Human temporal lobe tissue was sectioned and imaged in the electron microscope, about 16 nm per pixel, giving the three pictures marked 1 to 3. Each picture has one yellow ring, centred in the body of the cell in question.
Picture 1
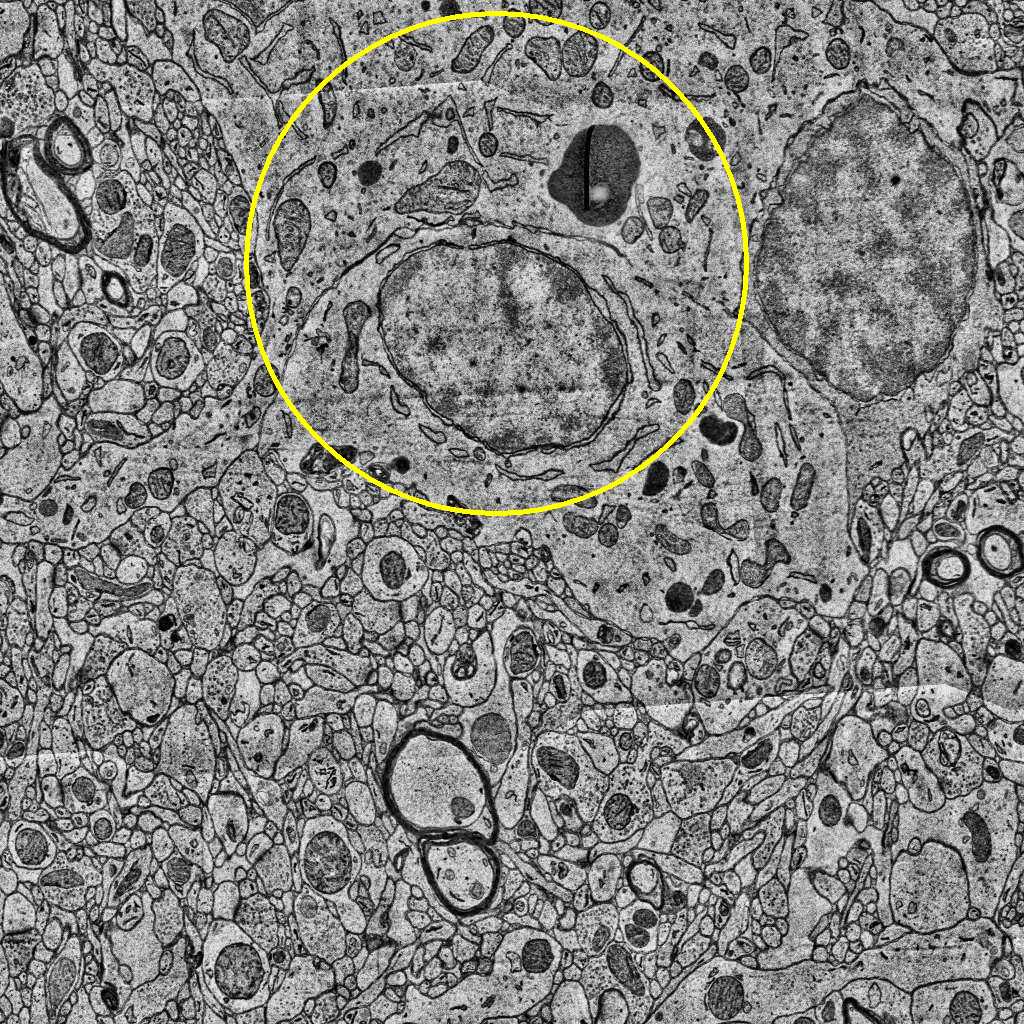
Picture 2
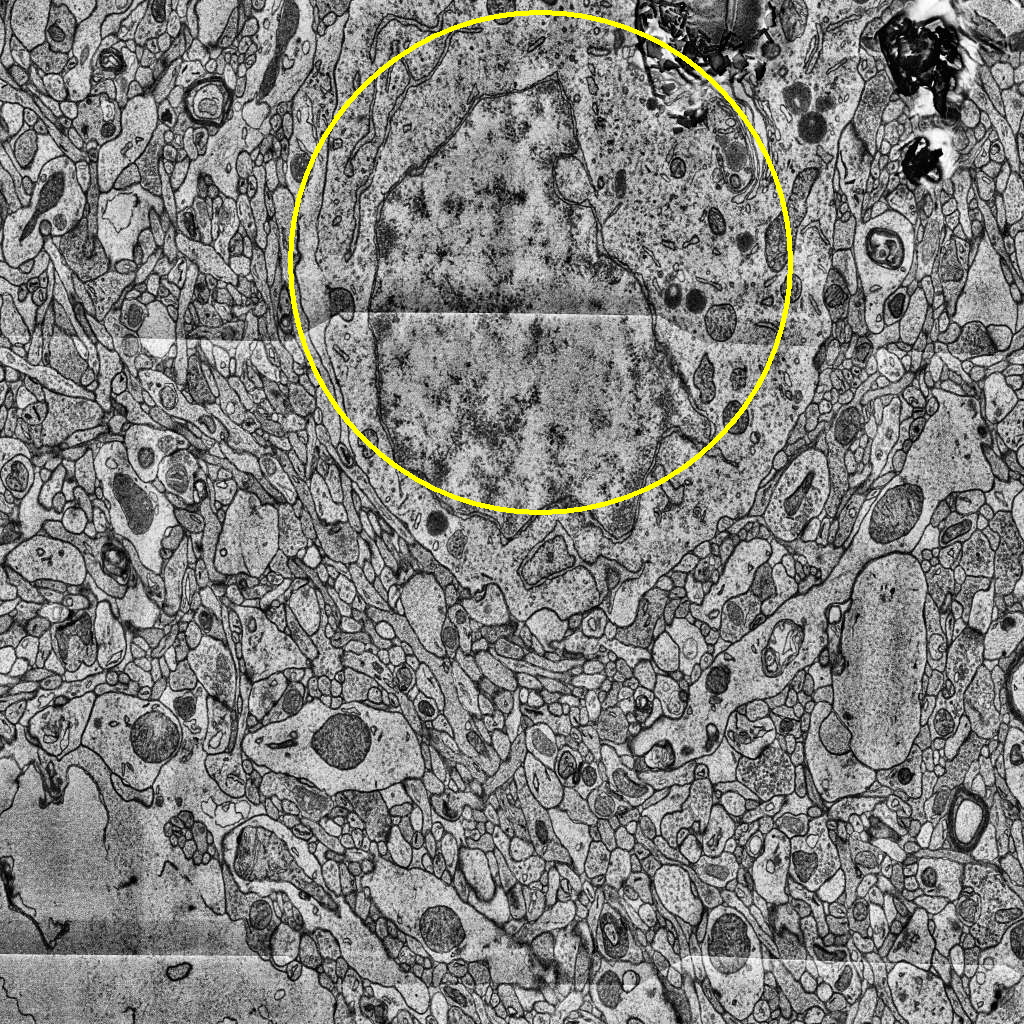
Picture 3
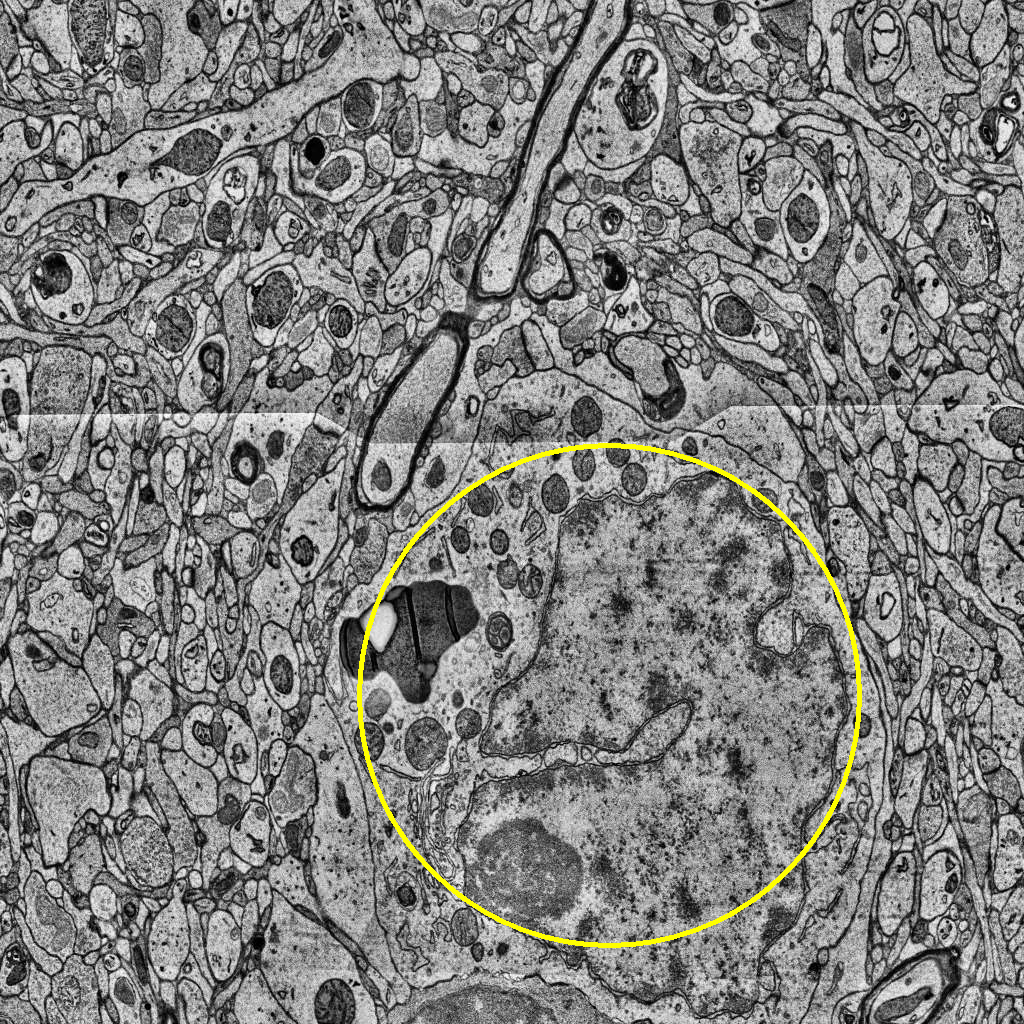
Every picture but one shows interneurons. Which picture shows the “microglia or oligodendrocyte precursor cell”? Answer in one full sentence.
The picture with the “microglia or oligodendrocyte precursor cell” is 1.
